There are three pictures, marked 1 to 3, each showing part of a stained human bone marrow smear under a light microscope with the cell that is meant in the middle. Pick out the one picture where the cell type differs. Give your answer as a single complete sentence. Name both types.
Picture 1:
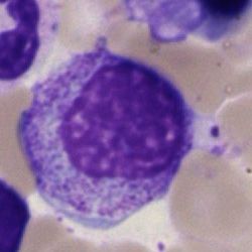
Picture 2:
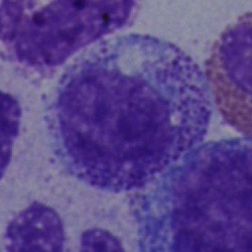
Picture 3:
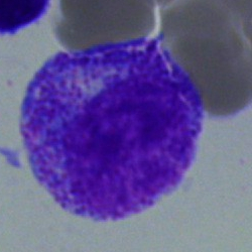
Picture 1 differs, because its cell is a myelocyte and the rest are promyelocytes.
